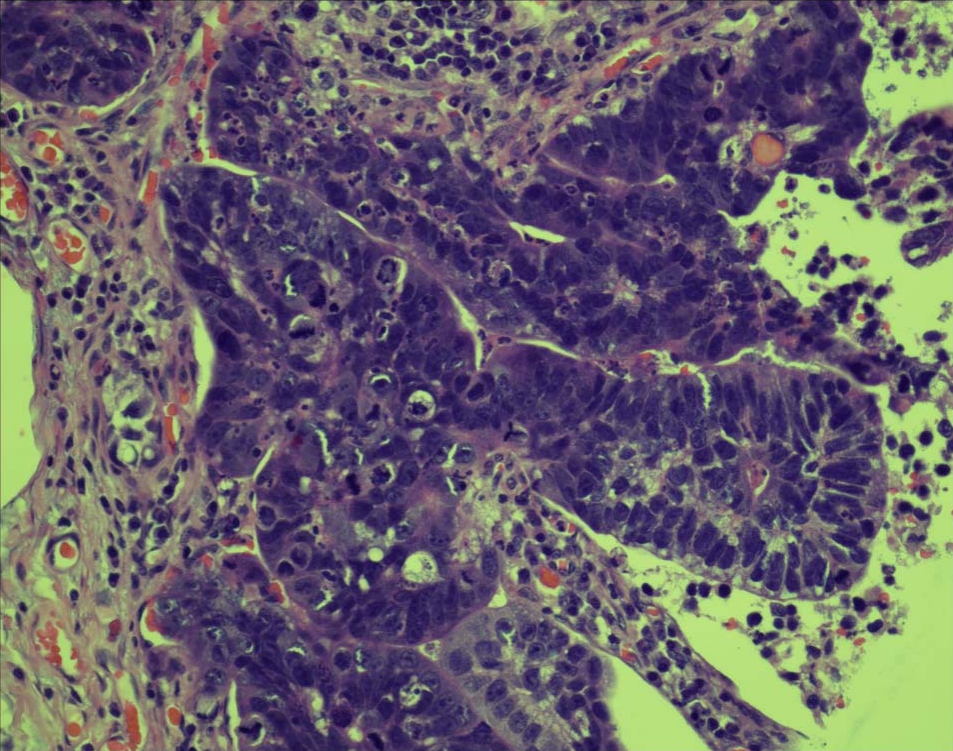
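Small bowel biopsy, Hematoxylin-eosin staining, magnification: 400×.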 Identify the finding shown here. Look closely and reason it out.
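The epithelial nuclei are large relative to the cytoplasm. The nuclei stain dark purple. The nuclei vary in size and shape from cell to cell. On this evidence: enlarged hyperchromatic and pleomorphic nuclei.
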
